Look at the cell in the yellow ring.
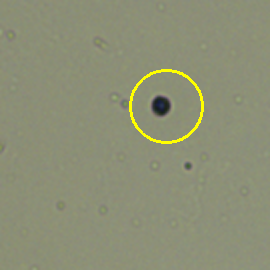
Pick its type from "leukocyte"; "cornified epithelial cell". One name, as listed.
leukocyte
